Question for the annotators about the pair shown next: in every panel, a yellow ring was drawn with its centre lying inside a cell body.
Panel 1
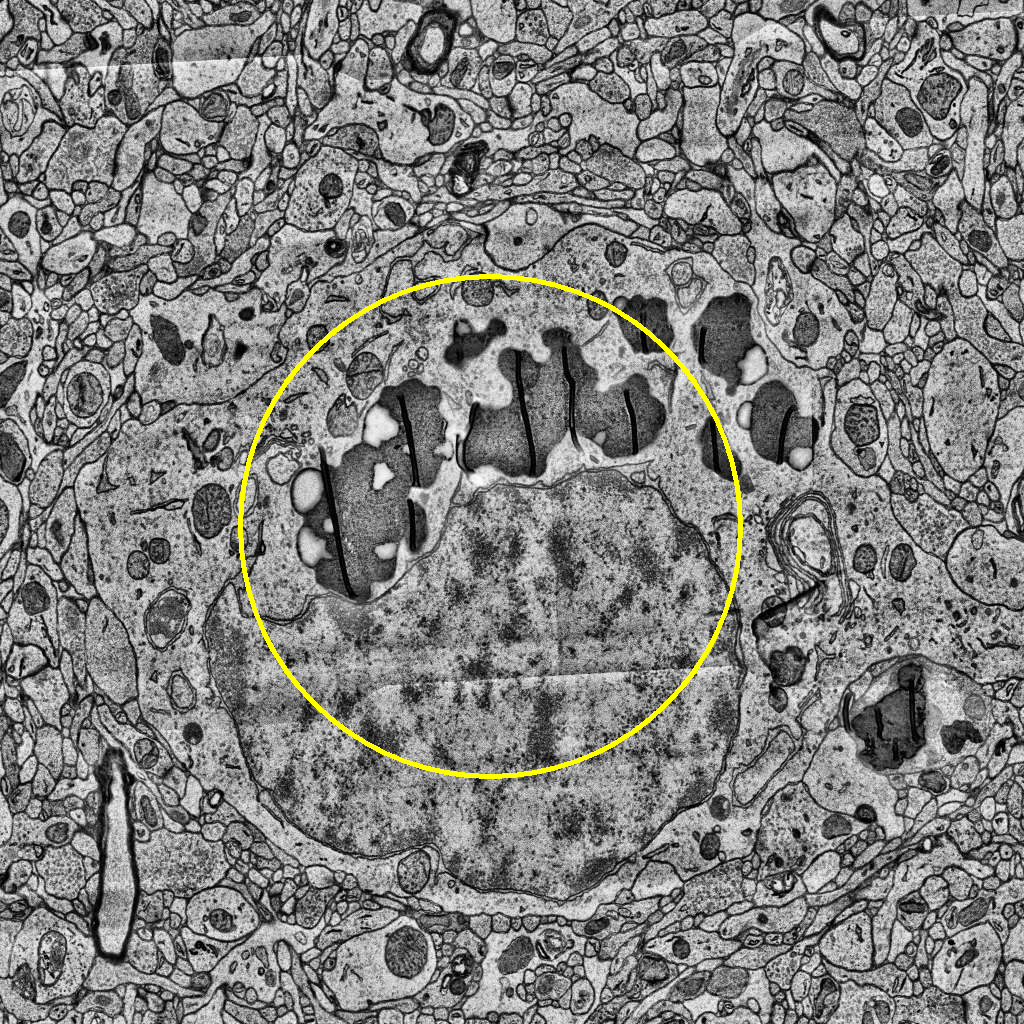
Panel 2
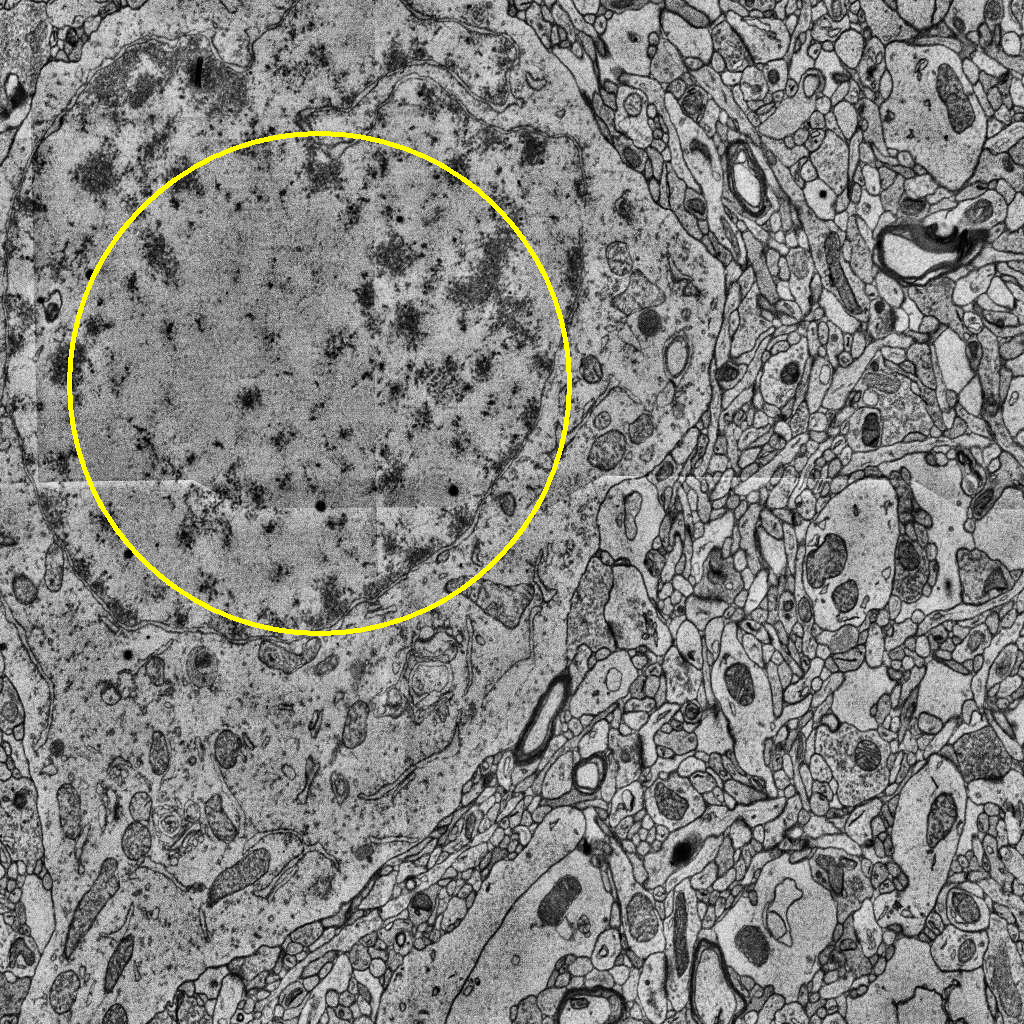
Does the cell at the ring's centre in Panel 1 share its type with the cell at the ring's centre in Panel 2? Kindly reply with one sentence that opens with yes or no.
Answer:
Yes, in Panels 1 and 2 the cells at the ring centres belong to a single type.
